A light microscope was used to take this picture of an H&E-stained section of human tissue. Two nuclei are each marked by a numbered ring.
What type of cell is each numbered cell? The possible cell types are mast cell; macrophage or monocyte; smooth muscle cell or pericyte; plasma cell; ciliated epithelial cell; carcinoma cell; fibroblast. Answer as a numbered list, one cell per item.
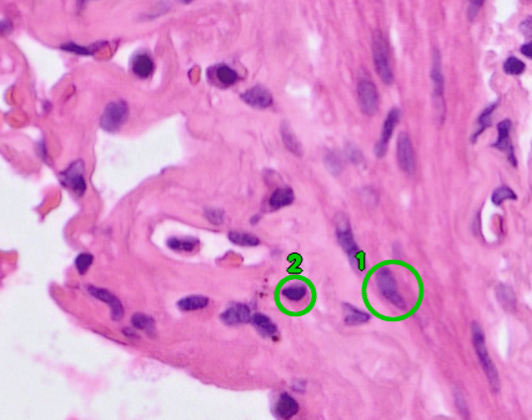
1. smooth muscle cell or pericyte
2. mast cell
